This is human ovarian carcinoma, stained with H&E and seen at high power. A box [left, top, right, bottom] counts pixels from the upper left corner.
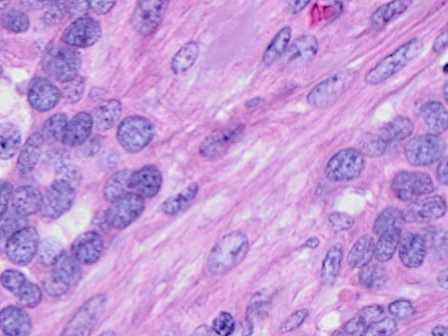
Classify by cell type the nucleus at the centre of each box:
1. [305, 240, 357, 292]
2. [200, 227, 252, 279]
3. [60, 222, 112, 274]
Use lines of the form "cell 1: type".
cell 1: fibroblast
cell 2: fibroblast
cell 3: carcinoma cell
